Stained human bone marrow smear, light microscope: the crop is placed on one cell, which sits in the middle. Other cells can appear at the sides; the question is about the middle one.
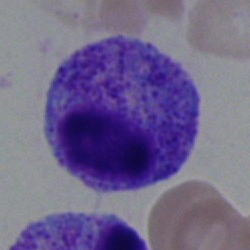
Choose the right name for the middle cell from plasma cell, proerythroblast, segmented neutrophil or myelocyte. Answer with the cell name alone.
myelocyte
